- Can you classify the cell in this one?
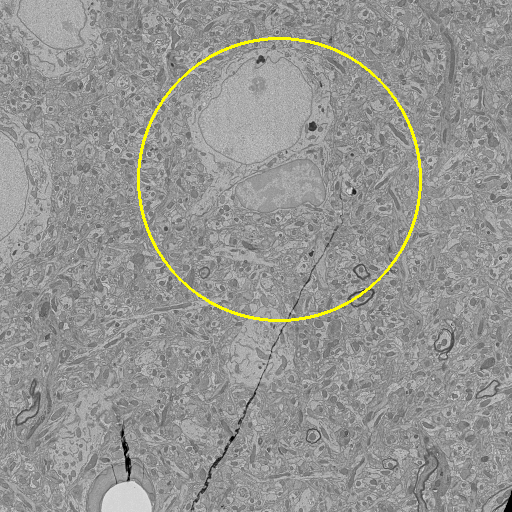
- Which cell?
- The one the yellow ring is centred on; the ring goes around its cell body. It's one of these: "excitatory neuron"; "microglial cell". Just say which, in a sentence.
The cell body in the ring belongs to a microglial cell.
